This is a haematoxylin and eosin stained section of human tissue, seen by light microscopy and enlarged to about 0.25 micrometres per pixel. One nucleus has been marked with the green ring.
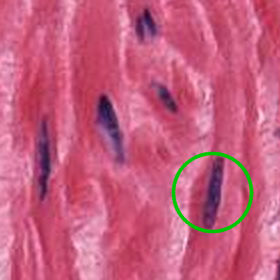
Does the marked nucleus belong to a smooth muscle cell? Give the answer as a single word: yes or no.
yes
